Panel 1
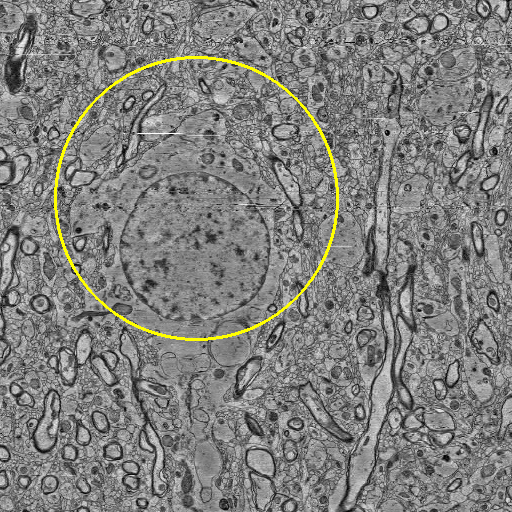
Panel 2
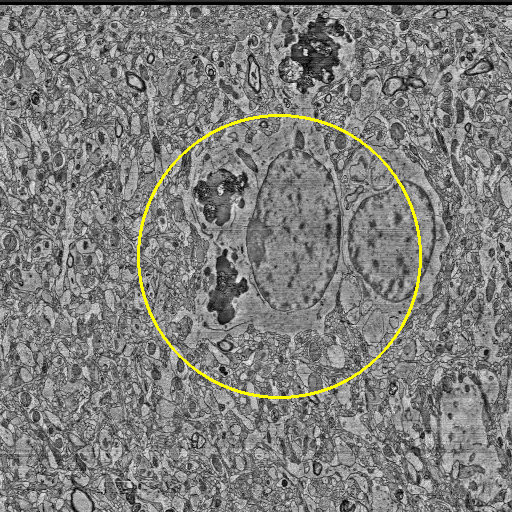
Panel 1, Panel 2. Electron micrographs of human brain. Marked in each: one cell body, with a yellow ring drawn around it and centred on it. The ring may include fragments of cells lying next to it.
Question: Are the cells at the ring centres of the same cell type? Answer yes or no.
yes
